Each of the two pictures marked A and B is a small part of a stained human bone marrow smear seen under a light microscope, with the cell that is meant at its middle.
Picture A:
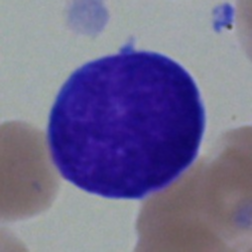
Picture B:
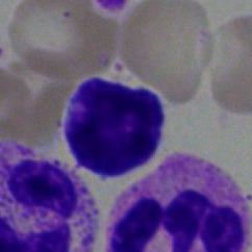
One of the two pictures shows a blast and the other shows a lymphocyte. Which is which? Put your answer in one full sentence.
It is picture A that shows a blast, and picture B that shows a lymphocyte.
